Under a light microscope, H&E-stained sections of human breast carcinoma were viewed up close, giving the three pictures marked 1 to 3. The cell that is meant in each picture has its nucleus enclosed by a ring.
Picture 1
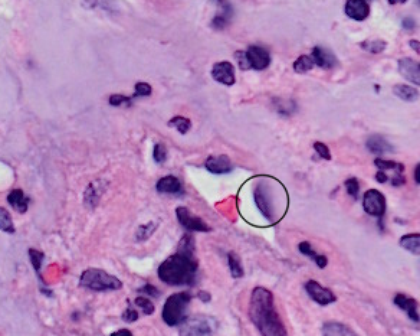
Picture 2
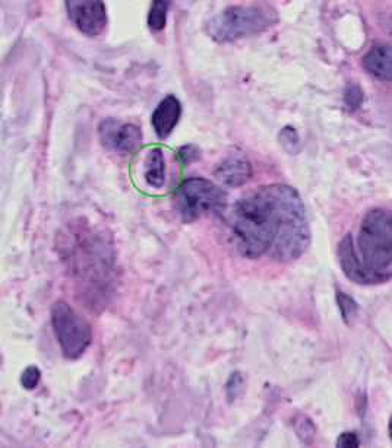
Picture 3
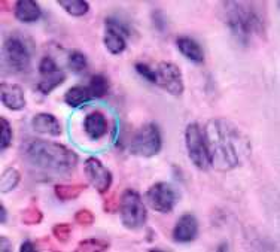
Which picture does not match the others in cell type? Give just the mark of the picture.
1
